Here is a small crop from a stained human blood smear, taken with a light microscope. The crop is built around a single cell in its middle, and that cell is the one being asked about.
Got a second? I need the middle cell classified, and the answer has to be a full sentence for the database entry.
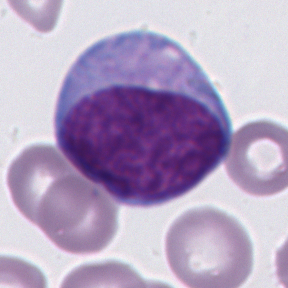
The cell at the centre of the field is a promyelocyte.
